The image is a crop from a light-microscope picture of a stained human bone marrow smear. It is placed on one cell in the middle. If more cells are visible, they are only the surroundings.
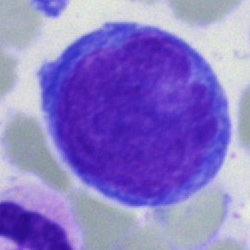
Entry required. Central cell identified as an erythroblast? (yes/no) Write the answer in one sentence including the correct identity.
No, what the centre of the crop shows is a blast, not an erythroblast.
